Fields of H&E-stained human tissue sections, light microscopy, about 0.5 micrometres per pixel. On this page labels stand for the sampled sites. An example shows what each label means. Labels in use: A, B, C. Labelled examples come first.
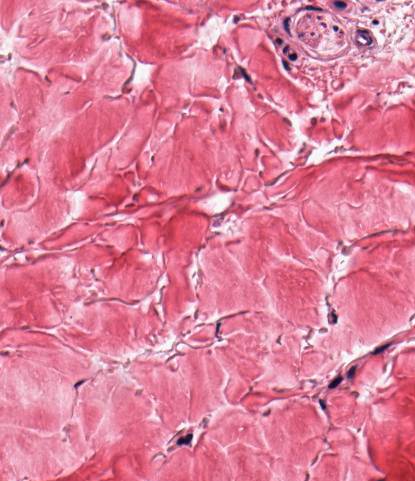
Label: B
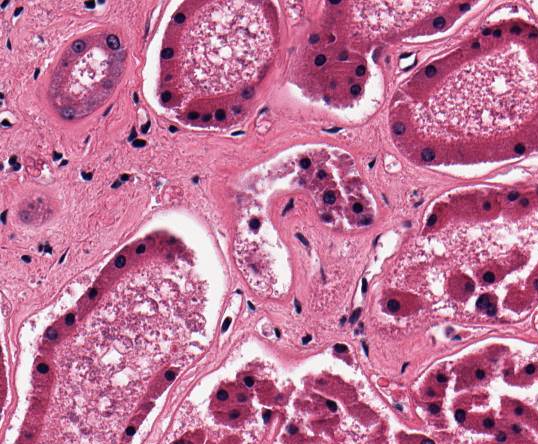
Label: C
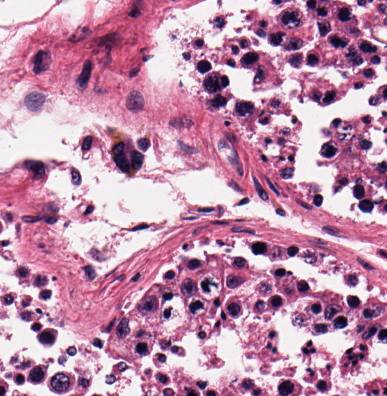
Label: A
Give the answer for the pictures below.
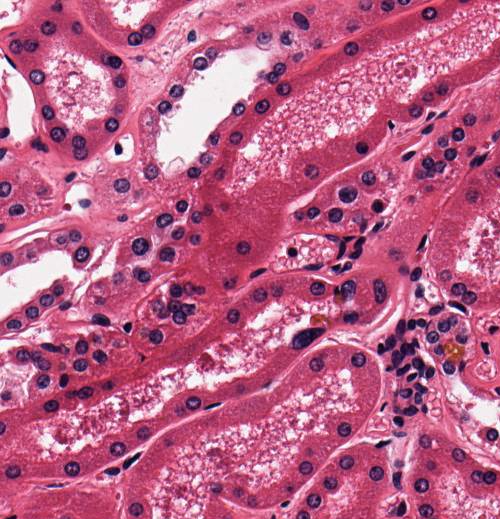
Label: C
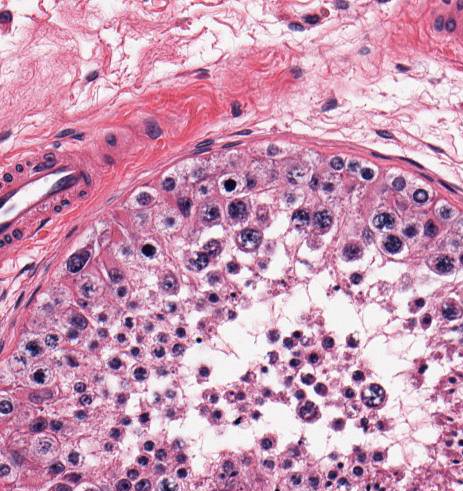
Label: A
